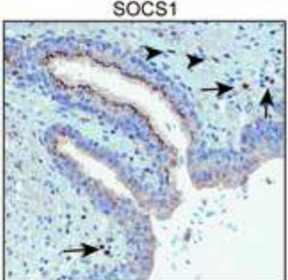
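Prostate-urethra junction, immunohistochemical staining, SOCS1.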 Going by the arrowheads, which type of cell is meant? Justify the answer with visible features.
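The arrowheads point to cells lying in the connective tissue outside the epithelial lining. The marked cells sit among loosely arranged blue nuclei of the surrounding tissue.
Hence: stromal cells.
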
